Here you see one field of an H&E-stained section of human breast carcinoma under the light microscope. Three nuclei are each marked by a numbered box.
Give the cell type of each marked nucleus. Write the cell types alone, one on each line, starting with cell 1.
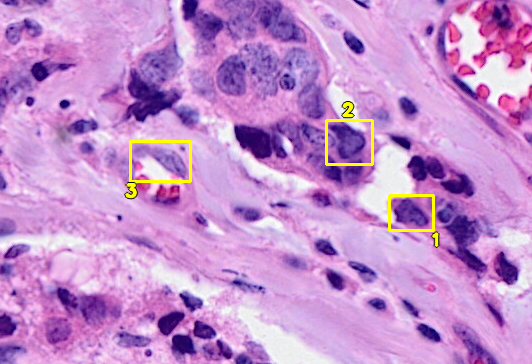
carcinoma cell
carcinoma cell
endothelial cell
